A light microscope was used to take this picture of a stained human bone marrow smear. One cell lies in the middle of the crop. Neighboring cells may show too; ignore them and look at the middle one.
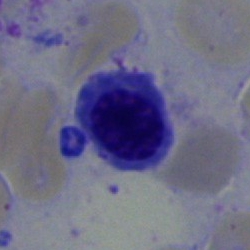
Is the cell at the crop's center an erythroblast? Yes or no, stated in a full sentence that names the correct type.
Yes, the central element of the crop is an erythroblast.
